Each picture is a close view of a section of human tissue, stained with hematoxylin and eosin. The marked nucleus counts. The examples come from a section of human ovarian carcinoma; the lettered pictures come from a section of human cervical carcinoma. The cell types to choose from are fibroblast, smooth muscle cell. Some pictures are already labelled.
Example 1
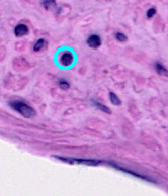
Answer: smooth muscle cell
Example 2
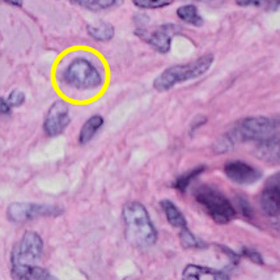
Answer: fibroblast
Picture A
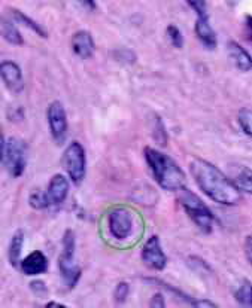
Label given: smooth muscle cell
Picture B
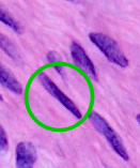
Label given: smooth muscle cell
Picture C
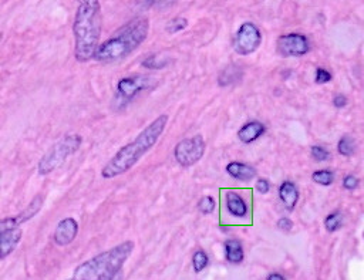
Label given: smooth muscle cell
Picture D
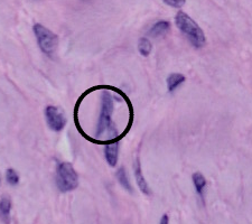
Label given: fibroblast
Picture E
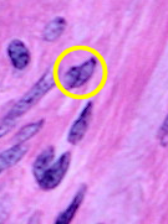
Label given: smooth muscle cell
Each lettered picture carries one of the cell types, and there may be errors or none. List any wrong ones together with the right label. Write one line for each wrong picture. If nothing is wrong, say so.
B is labelled smooth muscle cell; correct label: fibroblast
